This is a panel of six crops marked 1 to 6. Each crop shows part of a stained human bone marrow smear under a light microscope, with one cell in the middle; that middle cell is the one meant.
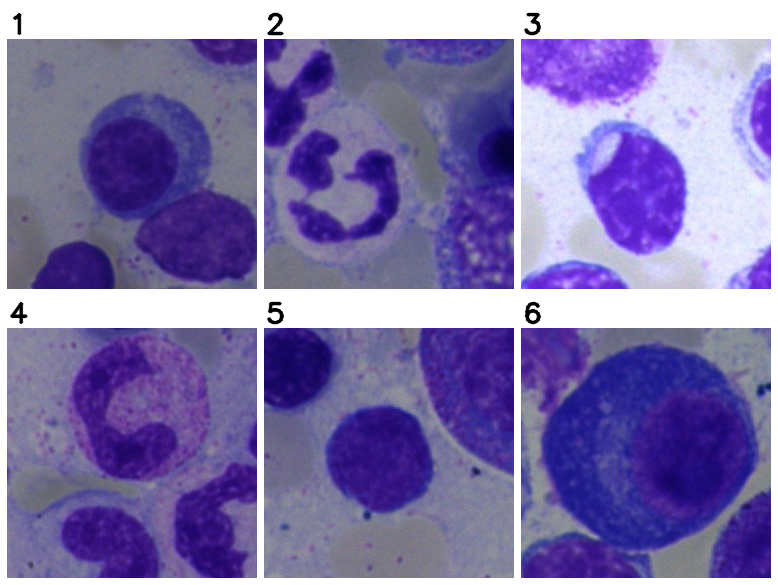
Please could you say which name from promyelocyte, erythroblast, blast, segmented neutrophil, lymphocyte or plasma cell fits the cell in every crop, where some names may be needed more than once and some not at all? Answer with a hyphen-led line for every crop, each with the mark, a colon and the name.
- 1: plasma cell
- 2: segmented neutrophil
- 3: lymphocyte
- 4: segmented neutrophil
- 5: lymphocyte
- 6: plasma cell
